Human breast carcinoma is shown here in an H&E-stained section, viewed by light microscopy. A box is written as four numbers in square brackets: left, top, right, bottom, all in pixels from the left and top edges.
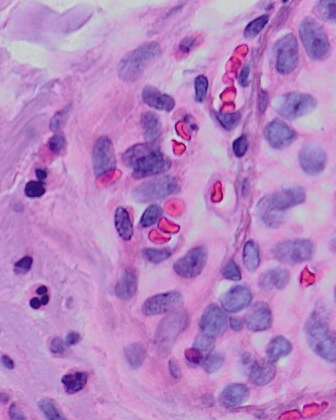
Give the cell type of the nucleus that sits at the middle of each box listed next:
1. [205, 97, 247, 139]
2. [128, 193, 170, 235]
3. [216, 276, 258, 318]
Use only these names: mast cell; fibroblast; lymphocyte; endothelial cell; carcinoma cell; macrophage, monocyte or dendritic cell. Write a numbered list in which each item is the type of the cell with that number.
1. endothelial cell
2. endothelial cell
3. carcinoma cell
